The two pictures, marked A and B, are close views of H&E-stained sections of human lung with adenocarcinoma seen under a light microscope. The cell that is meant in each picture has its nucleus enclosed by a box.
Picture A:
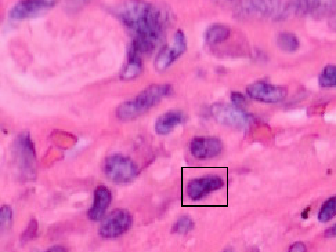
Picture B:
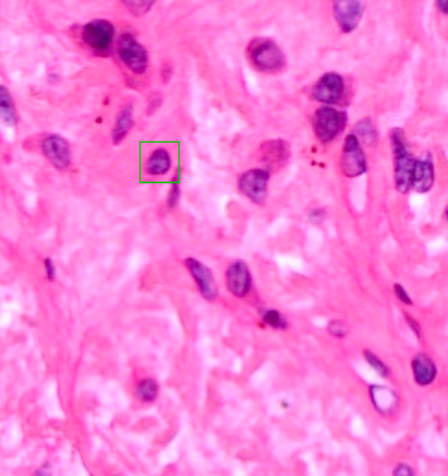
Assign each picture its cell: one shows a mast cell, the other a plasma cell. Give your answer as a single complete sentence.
Picture B shows a mast cell, while picture A shows a plasma cell.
